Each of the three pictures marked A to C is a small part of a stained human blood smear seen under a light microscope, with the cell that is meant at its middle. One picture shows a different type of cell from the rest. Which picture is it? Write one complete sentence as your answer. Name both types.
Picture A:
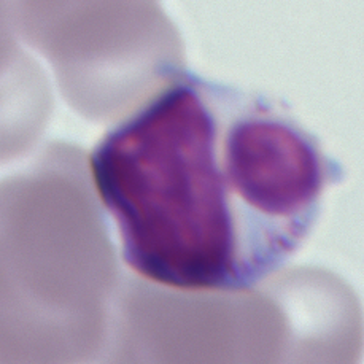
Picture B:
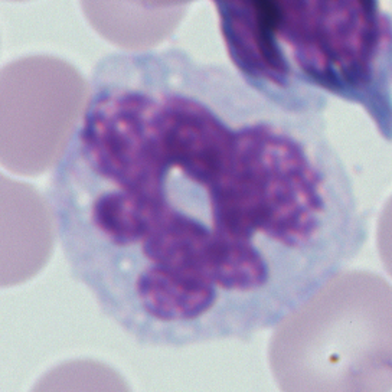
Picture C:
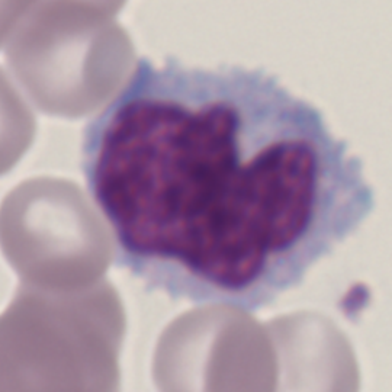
The others show monocytes, but picture A shows a large granular lymphocyte.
